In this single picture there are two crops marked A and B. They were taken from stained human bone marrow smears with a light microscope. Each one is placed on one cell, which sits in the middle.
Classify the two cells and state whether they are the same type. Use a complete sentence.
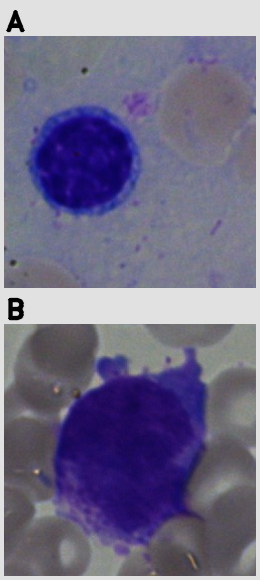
No, crop A contains a lymphocyte; a blast is what crop B contains.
